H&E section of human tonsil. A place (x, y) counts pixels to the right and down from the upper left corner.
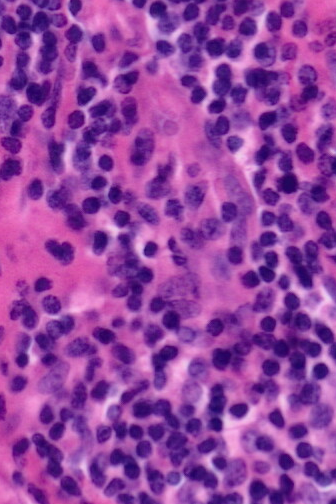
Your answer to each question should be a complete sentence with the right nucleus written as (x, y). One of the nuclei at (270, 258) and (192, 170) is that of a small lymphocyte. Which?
The nucleus situated at (270, 258) is the one belonging to a small lymphocyte.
